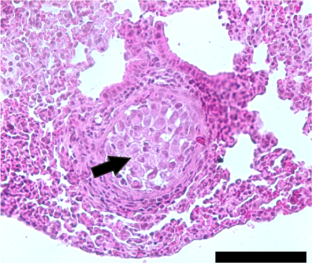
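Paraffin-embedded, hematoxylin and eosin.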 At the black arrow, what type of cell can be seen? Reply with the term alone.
Tumor cells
